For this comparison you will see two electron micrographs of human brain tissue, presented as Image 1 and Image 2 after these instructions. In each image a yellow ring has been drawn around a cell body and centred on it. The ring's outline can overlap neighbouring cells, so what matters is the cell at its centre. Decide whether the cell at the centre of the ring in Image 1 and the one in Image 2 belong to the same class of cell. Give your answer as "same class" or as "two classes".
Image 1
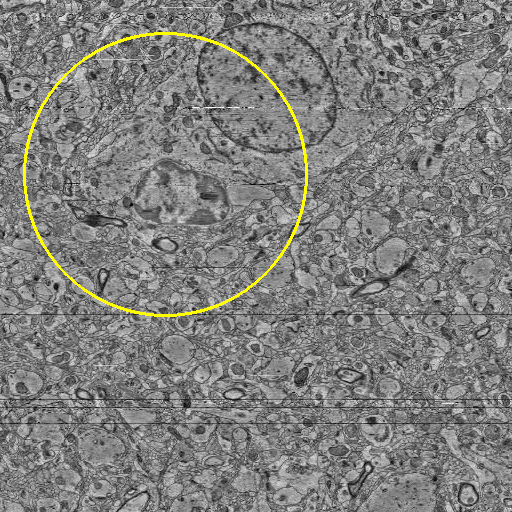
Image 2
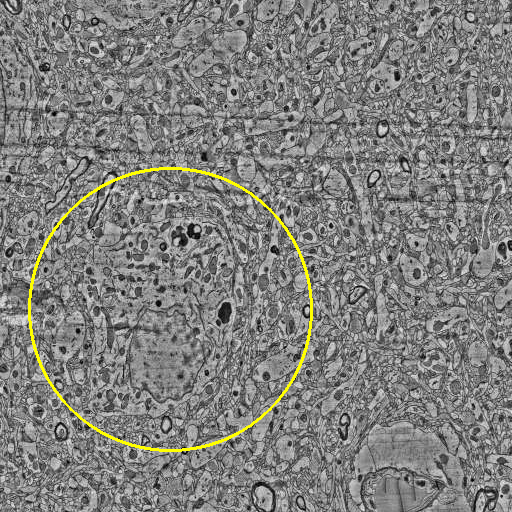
two classes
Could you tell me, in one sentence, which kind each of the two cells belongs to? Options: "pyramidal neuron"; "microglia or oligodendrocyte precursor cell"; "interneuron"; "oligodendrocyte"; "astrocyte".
At the centre of the first ring sits a microglial cell or oligodendrocyte precursor cell, and at the centre of the second sits an interneuron.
